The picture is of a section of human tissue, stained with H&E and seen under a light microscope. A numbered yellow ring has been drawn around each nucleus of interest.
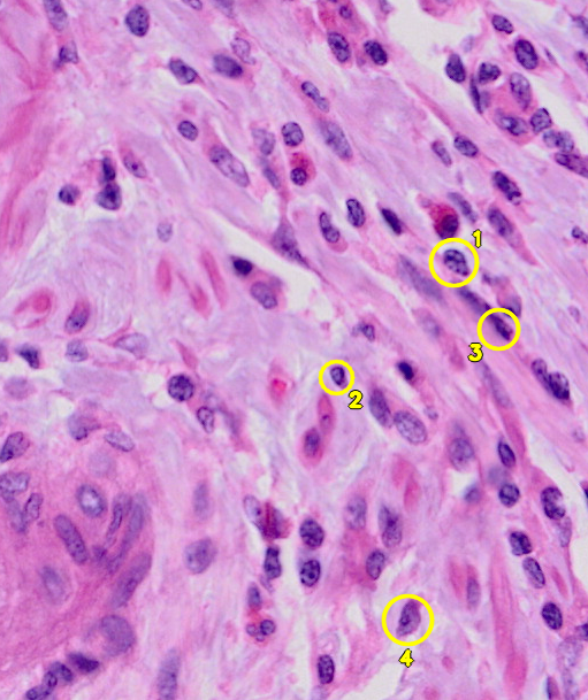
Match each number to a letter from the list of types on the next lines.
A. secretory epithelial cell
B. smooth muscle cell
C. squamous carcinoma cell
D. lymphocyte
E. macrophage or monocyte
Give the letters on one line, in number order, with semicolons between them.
D; D; D; E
